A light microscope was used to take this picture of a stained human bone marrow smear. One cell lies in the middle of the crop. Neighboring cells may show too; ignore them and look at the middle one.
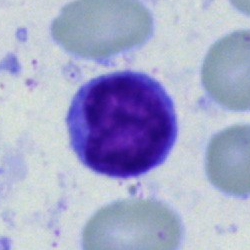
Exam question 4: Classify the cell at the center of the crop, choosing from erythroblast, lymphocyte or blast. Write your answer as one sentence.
The cell under consideration, at the middle of the crop, is a lymphocyte.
